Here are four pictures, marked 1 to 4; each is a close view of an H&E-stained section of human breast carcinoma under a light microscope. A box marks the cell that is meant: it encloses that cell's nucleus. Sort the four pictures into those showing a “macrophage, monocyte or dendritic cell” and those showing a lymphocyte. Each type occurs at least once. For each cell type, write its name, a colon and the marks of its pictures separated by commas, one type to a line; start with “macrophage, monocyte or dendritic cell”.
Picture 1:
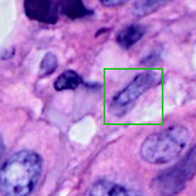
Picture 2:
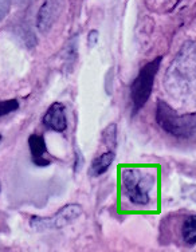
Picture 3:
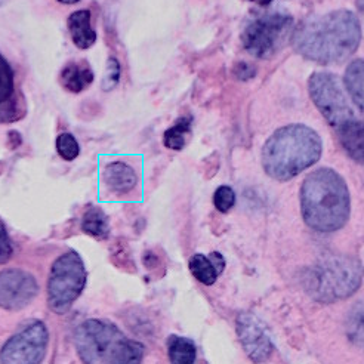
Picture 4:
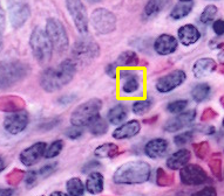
macrophage, monocyte or dendritic cell: 1, 2, 3
lymphocyte: 4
